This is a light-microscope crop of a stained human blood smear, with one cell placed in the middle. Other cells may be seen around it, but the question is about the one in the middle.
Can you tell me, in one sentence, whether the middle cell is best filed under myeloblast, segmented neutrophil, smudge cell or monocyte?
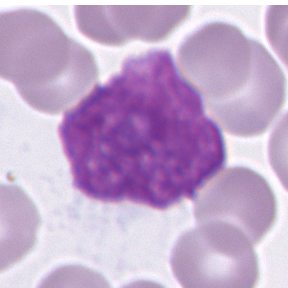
Whatever else lies nearby, the middle cell is a smudge cell.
